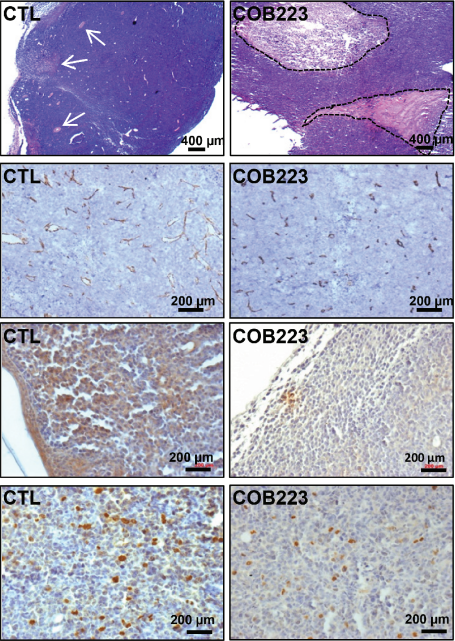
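In the haematoxylin and eosin images the tumor is a dense sheet of purple-staining cells, interrupted by pale pinkish necrotic areas, small ones marked by white arrows on the left and large ones outlined by dotted lines on the right. Below, thin brown branching profiles of blood vessels are scattered through the blue-counterstained tissue, and in the bottom row individual nuclei stand out in brown among the blue ones. The third row shows a broad brown cytoplasmic stain over much of the tissue on the left and only scattered brown on the right.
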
